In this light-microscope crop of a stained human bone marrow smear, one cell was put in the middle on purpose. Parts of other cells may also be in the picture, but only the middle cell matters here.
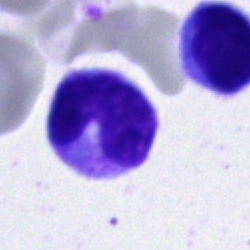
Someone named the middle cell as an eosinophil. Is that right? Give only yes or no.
no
